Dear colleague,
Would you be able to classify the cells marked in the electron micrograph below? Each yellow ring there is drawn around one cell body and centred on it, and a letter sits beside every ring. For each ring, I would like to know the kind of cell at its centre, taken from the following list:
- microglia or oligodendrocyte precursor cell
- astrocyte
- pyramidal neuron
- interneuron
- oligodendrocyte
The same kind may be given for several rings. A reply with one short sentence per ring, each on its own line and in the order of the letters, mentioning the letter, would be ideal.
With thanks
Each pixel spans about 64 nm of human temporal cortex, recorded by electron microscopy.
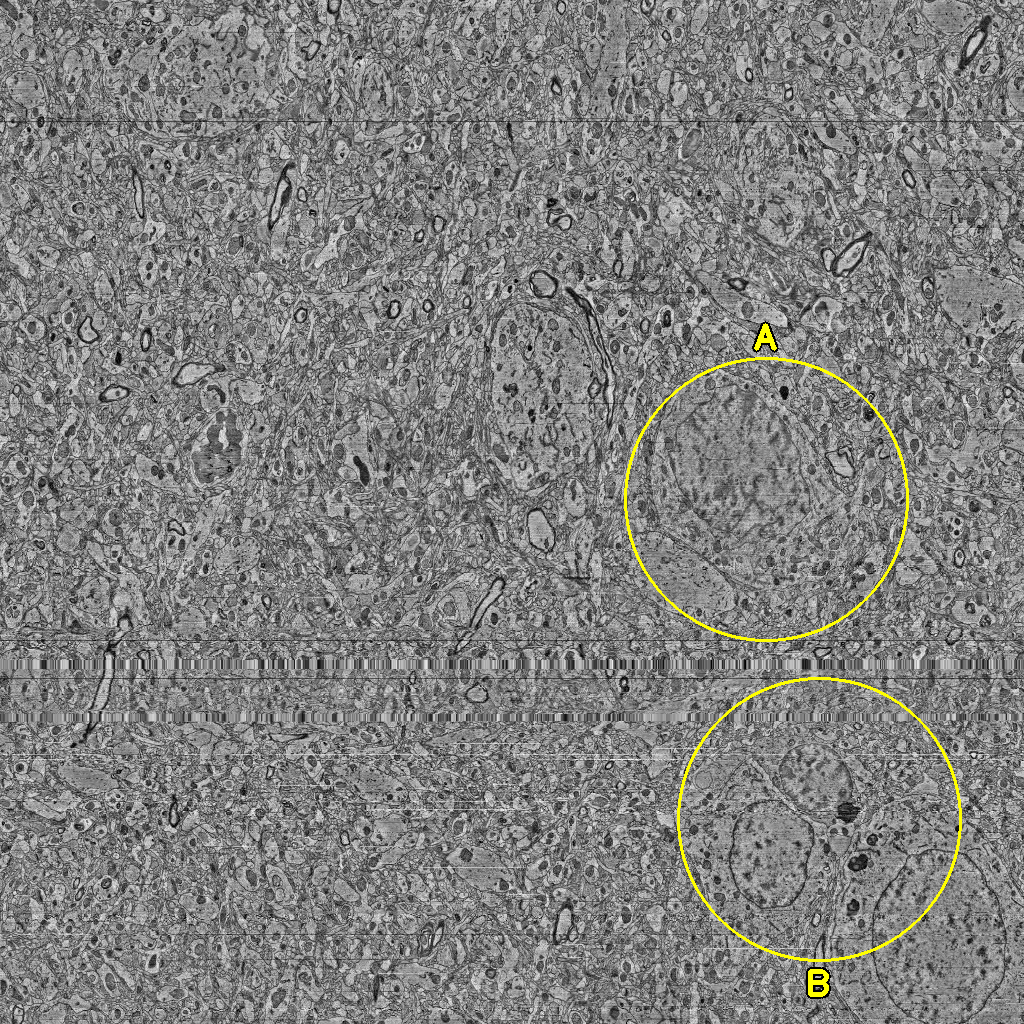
Ring A contains an interneuron at its centre.
Ring B contains an oligodendrocyte at its centre.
